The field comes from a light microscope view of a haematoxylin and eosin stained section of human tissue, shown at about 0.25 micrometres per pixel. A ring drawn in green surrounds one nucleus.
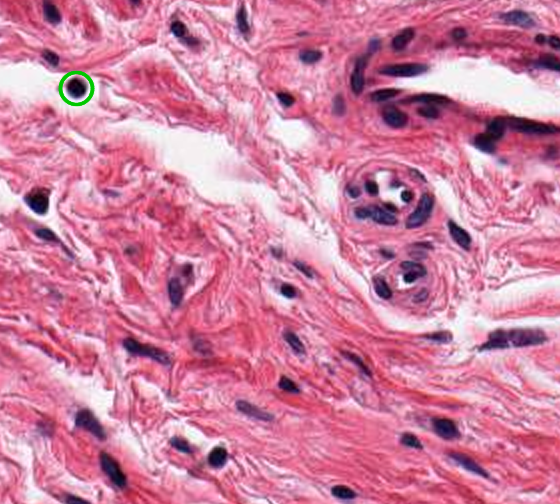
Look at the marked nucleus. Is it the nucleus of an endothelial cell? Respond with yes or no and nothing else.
no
